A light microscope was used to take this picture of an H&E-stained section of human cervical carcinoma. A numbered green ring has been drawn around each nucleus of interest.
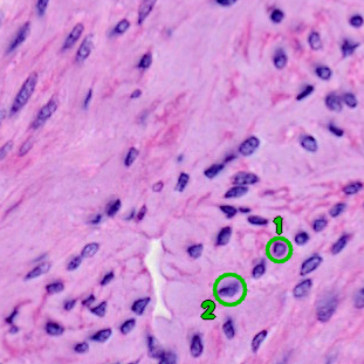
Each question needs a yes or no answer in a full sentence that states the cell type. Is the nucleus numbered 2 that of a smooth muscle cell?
No, number 2 corresponds to a fibroblast, not a smooth muscle cell.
